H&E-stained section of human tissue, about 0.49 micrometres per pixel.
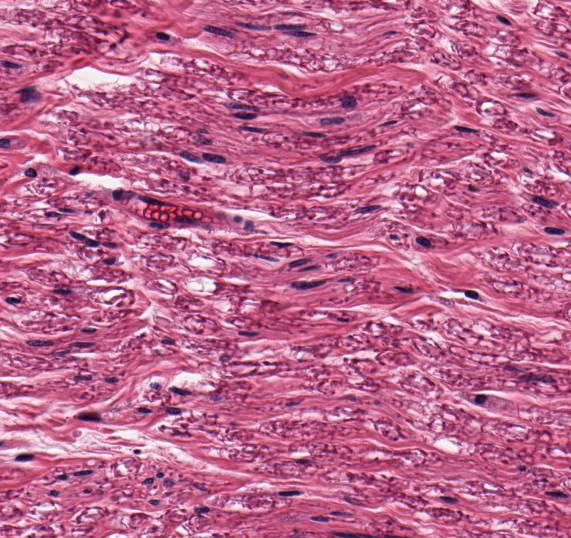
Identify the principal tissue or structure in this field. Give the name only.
nerve fascicle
